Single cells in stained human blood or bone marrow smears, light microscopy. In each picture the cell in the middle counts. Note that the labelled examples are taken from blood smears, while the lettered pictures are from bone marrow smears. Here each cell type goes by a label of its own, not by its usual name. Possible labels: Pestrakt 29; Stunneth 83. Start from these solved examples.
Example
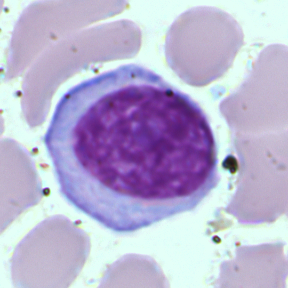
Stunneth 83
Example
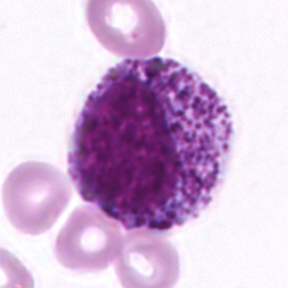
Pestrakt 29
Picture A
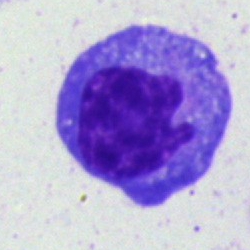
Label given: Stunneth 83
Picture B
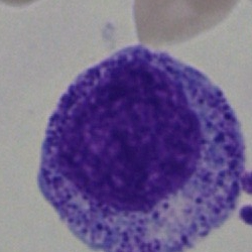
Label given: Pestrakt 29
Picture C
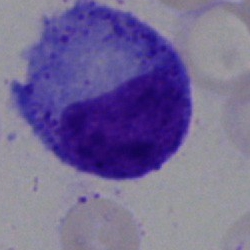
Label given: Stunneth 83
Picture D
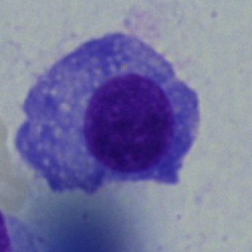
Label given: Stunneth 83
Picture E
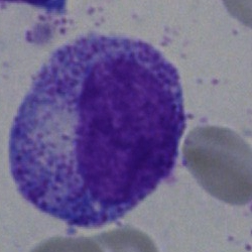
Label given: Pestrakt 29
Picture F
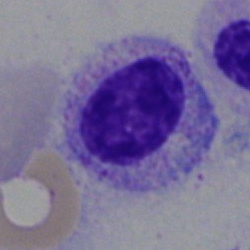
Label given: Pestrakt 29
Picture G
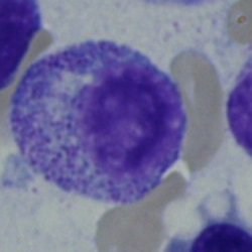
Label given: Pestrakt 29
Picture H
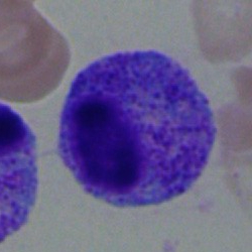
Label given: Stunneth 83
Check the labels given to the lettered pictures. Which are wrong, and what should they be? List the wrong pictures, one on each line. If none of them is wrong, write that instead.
C: Pestrakt 29, not Stunneth 83
H: Pestrakt 29, not Stunneth 83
